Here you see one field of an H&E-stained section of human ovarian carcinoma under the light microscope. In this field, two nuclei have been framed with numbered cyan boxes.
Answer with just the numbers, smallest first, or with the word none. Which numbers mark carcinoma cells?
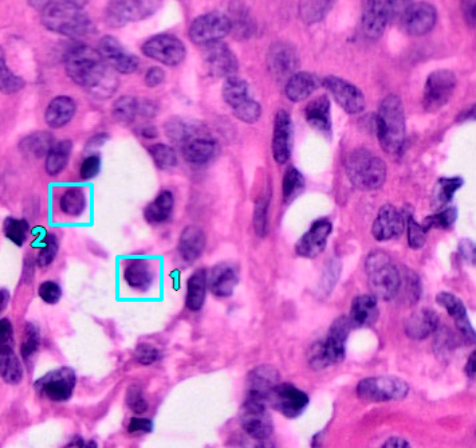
1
